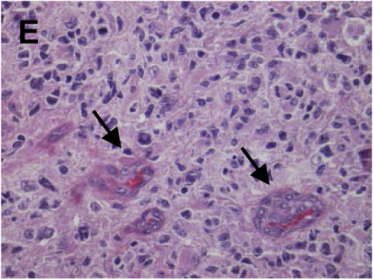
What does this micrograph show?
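This section of a high-grade glial tumour shows densely packed tumour cells with dark purple nuclei that vary in size and shape. Several blood vessels stand out with thickened, multilayered walls made of plump cells, forming rounded vascular tufts. Red blood cells can be seen within the lumina of these vessels. The crowding of cells and the abnormal, proliferating vessels contrast with the sparse, orderly appearance of low-grade glial tissue.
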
